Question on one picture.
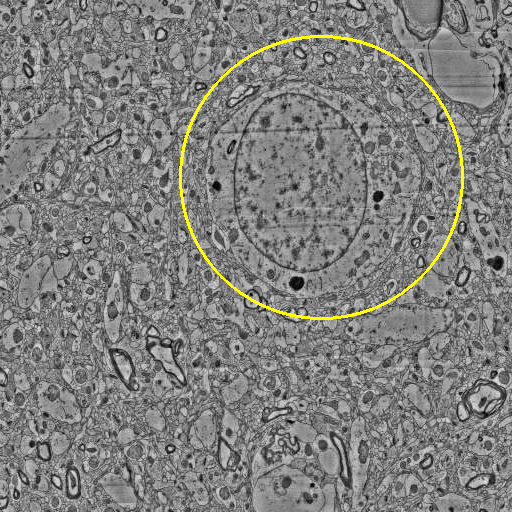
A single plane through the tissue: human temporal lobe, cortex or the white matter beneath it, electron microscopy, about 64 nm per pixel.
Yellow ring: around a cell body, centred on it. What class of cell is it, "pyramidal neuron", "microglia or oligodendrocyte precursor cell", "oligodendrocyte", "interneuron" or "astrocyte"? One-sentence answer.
This is a pyramidal neuron, the cell the ring is centred on.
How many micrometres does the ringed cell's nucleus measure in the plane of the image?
Roughly 11 by 9 micrometres is the size of the nucleus in this plane.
